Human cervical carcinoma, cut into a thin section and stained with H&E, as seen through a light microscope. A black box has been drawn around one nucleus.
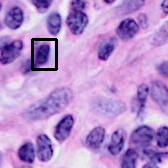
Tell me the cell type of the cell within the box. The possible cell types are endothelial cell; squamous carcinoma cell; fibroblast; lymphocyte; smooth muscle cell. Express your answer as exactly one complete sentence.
As a matter of cell type, the cell within the box is a lymphocyte.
